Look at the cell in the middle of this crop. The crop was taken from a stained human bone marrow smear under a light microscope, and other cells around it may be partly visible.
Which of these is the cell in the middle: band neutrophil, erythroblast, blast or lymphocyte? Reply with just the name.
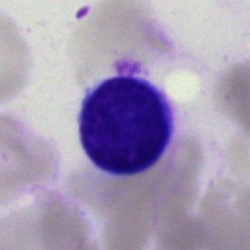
lymphocyte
